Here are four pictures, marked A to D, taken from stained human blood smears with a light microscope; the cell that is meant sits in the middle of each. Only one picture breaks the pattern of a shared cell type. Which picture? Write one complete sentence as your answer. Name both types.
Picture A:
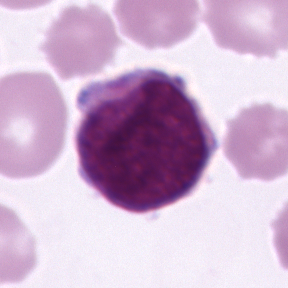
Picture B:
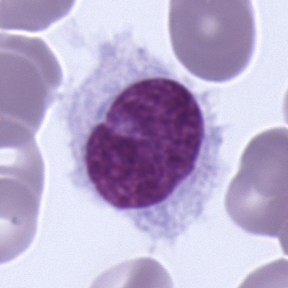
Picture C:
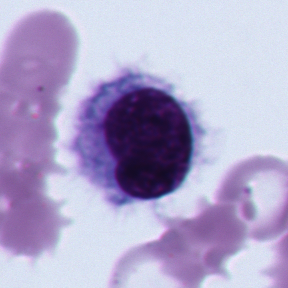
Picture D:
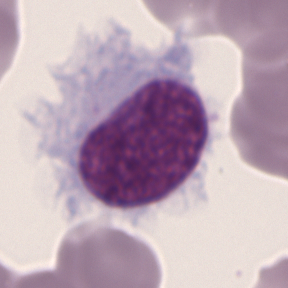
The different one is picture A; it shows a myeloblast, whereas all the others show hairy cells.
